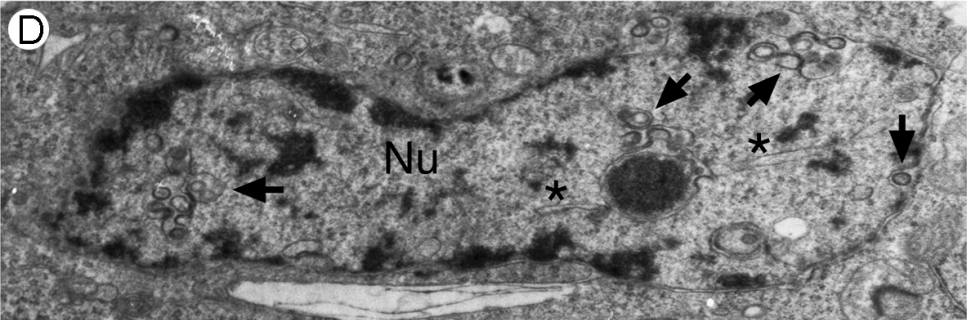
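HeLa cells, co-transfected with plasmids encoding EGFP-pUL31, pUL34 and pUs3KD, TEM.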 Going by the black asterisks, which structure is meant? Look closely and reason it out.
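Tubular invaginations. Thin elongated membrane profiles run through the nucleoplasm.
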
